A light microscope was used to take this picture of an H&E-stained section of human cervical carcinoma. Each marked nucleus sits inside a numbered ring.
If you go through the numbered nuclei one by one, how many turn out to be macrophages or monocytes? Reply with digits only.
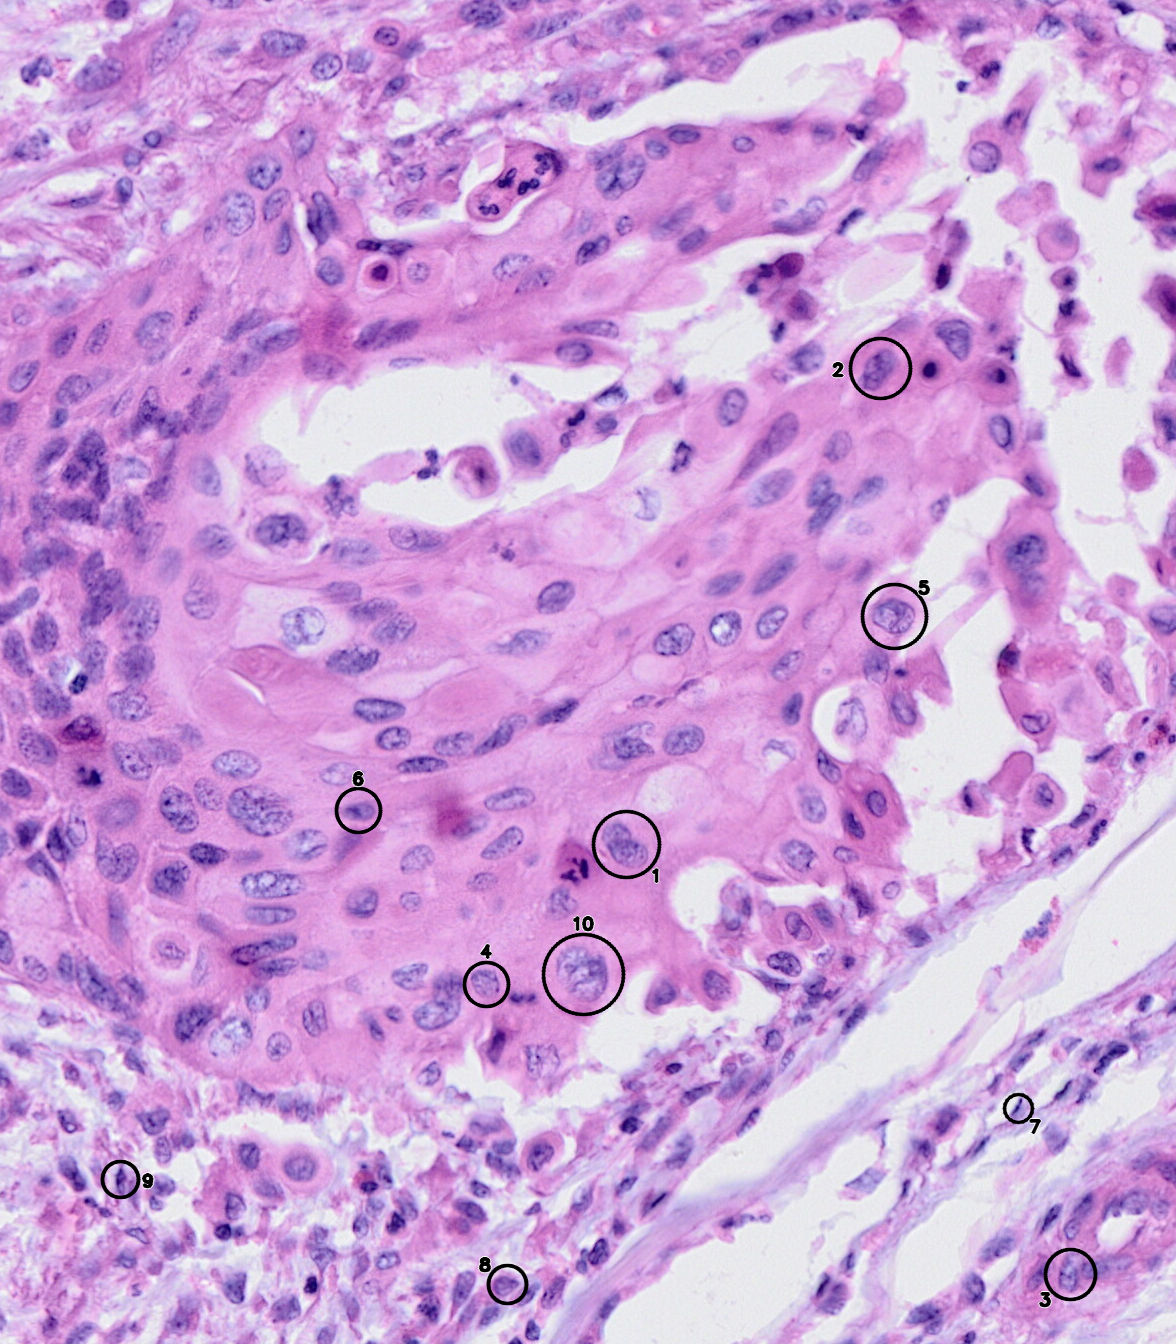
1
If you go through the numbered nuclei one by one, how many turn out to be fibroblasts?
2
